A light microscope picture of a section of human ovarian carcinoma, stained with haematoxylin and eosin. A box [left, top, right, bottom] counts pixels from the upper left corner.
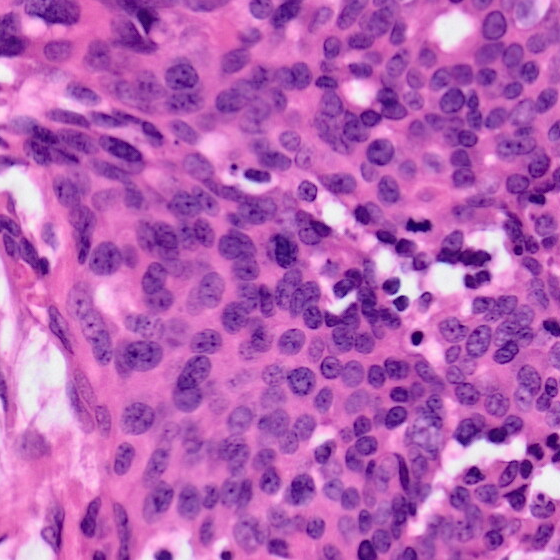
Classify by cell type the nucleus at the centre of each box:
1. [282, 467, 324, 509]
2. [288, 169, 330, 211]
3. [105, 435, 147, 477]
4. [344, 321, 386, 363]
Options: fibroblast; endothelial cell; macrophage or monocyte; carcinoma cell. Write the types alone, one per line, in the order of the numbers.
carcinoma cell
macrophage or monocyte
macrophage or monocyte
carcinoma cell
